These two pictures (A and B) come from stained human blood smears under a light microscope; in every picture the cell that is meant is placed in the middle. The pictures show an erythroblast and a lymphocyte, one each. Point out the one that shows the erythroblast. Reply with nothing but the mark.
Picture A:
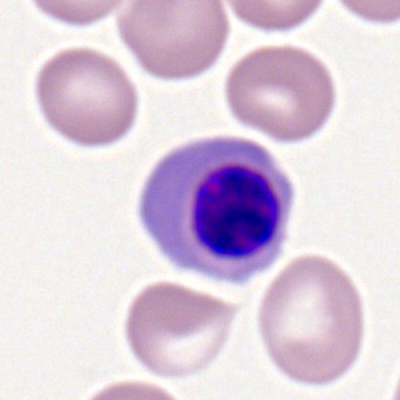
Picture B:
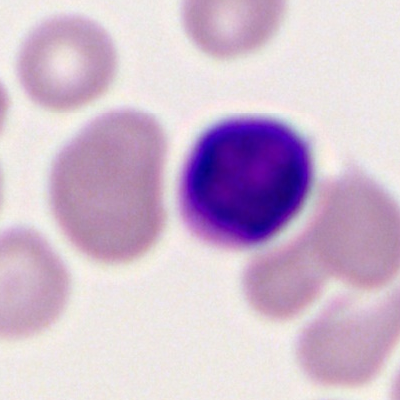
A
